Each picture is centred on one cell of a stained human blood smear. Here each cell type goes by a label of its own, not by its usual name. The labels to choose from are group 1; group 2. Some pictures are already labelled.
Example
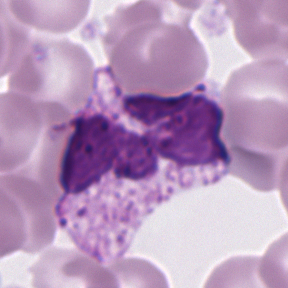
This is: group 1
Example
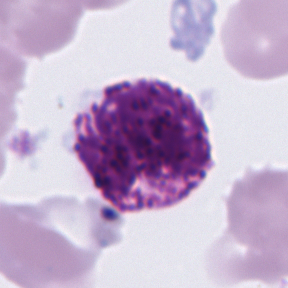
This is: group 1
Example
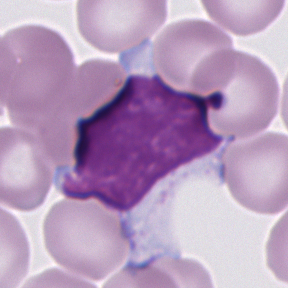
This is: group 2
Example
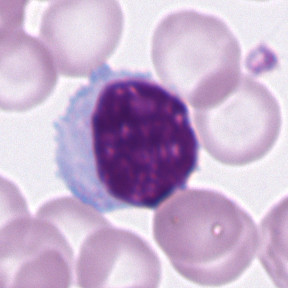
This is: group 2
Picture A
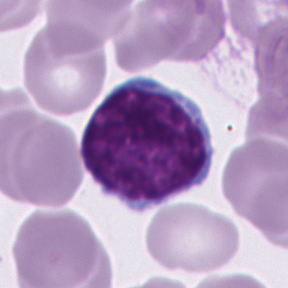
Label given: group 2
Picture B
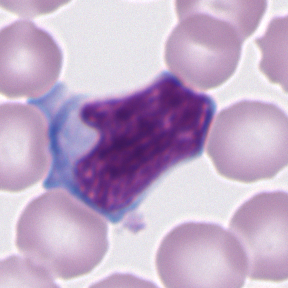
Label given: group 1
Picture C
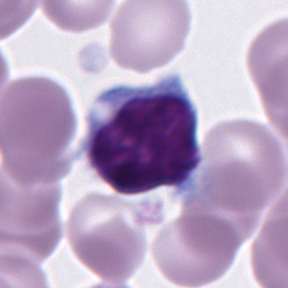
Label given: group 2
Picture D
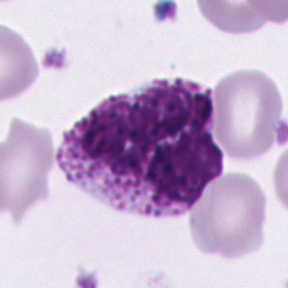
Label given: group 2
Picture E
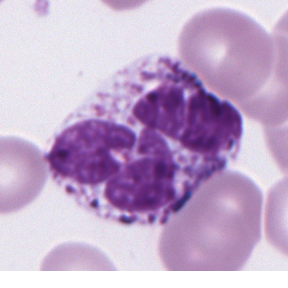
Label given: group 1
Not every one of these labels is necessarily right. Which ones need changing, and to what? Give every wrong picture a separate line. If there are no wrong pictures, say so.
Wrong: B (group 1); correct: group 2
Wrong: D (group 2); correct: group 1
